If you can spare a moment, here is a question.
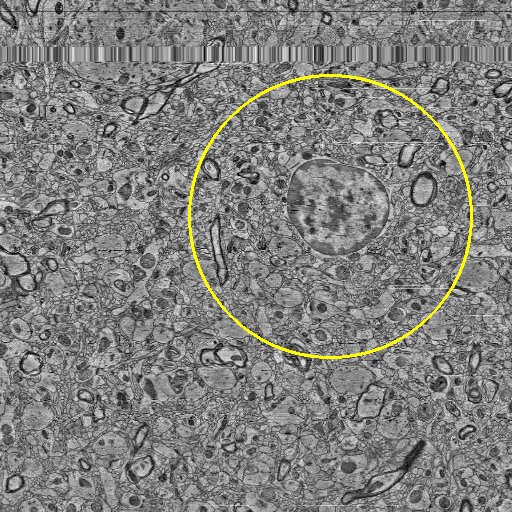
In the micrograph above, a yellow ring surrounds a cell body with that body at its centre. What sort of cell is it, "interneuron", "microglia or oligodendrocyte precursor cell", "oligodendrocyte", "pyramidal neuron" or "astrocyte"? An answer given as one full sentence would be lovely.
Centred inside the yellow ring, the cell body shown belongs to a microglial cell or oligodendrocyte precursor cell in this micrograph.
